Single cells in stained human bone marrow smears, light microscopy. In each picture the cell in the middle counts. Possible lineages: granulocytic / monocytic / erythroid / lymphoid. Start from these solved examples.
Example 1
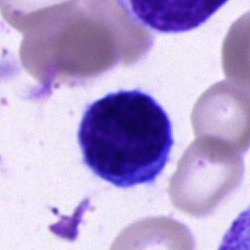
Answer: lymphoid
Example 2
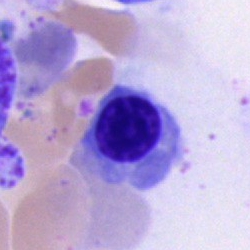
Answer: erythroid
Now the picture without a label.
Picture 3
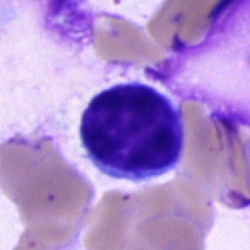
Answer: lymphoid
